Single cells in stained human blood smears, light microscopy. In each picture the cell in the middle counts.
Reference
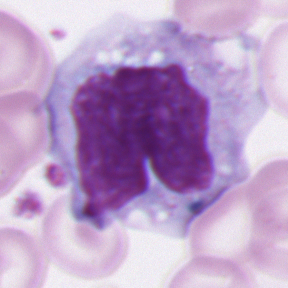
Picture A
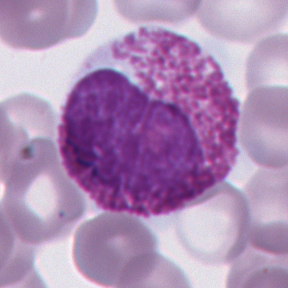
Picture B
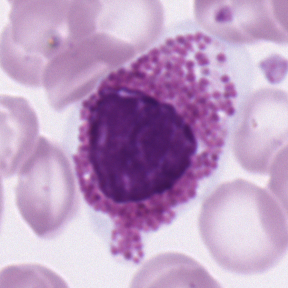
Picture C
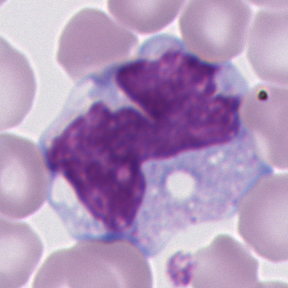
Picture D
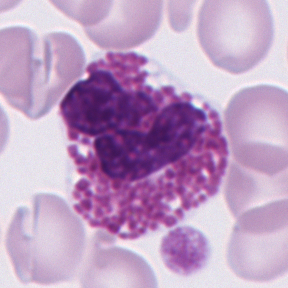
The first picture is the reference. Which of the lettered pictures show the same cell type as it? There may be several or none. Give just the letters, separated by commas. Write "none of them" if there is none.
C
